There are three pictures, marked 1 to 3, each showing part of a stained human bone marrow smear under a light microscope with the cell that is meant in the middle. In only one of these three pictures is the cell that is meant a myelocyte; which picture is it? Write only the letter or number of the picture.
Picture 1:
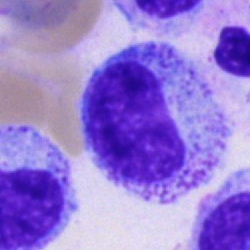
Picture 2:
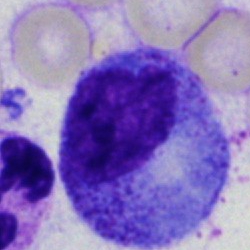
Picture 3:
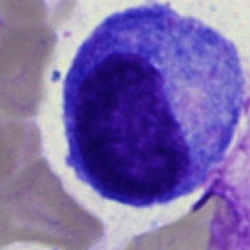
1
